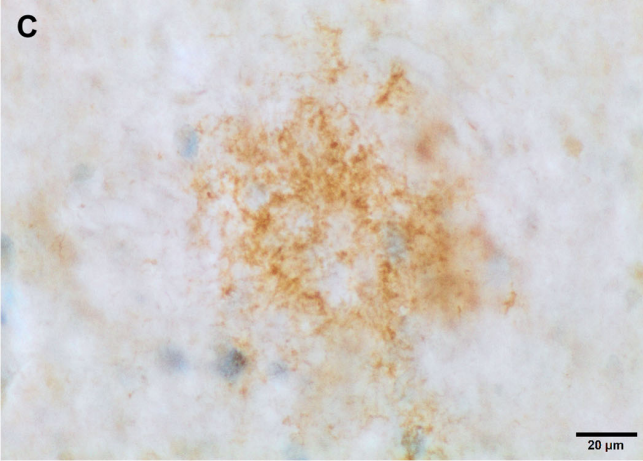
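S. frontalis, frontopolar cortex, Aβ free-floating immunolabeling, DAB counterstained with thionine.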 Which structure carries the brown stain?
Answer: aggregate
